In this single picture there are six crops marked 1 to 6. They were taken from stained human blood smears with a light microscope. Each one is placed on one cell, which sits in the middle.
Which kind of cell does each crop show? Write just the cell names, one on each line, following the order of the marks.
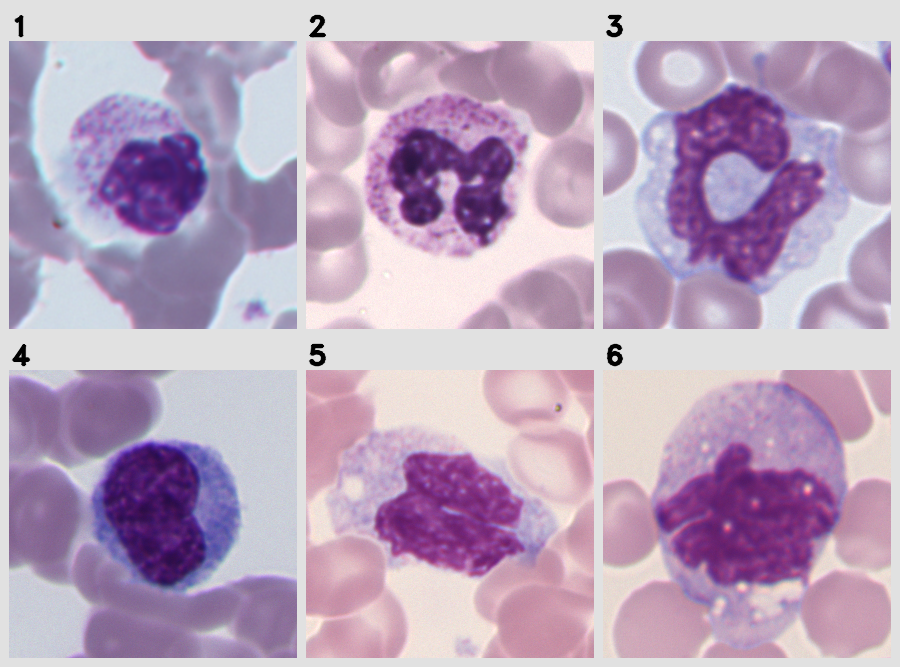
segmented neutrophil
segmented neutrophil
monocyte
monocyte
monocyte
monocyte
